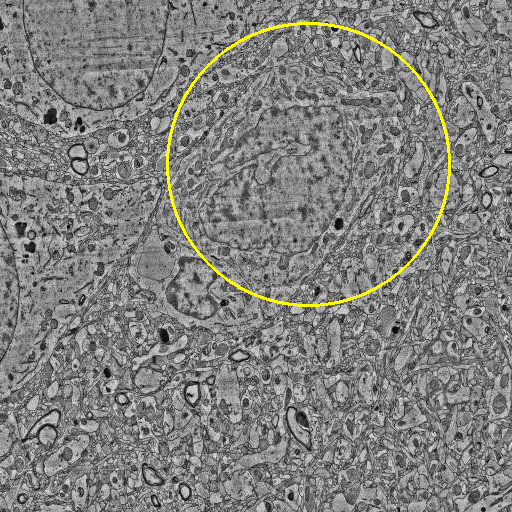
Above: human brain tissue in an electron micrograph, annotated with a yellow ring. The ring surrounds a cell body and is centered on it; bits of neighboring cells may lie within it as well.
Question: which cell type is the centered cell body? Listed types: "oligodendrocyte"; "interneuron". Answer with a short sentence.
The centered cell body is an interneuron.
